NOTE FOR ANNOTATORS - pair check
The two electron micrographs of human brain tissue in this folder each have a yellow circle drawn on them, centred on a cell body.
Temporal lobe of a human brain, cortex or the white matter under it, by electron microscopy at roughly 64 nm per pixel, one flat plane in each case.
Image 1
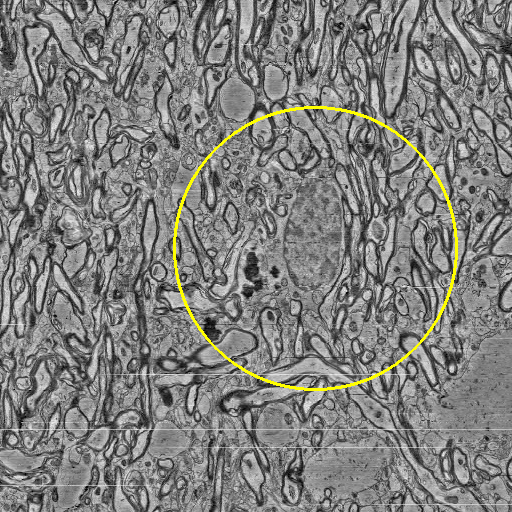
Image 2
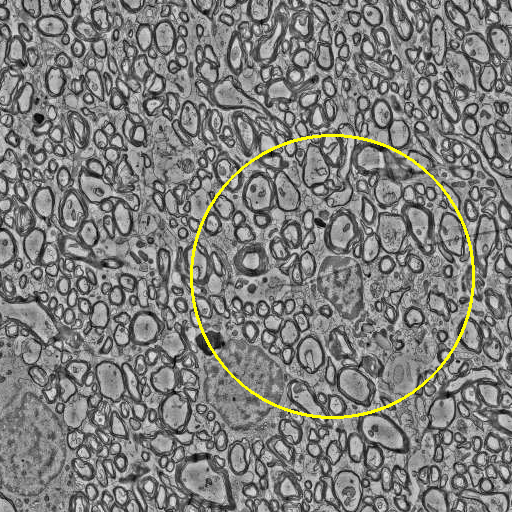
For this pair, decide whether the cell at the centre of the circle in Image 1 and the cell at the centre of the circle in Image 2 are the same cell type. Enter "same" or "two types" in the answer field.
two types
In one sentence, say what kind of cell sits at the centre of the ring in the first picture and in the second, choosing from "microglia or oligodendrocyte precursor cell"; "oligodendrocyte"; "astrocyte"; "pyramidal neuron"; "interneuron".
The first picture's ringed cell is an oligodendrocyte, while the second picture's is a microglial cell or oligodendrocyte precursor cell.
